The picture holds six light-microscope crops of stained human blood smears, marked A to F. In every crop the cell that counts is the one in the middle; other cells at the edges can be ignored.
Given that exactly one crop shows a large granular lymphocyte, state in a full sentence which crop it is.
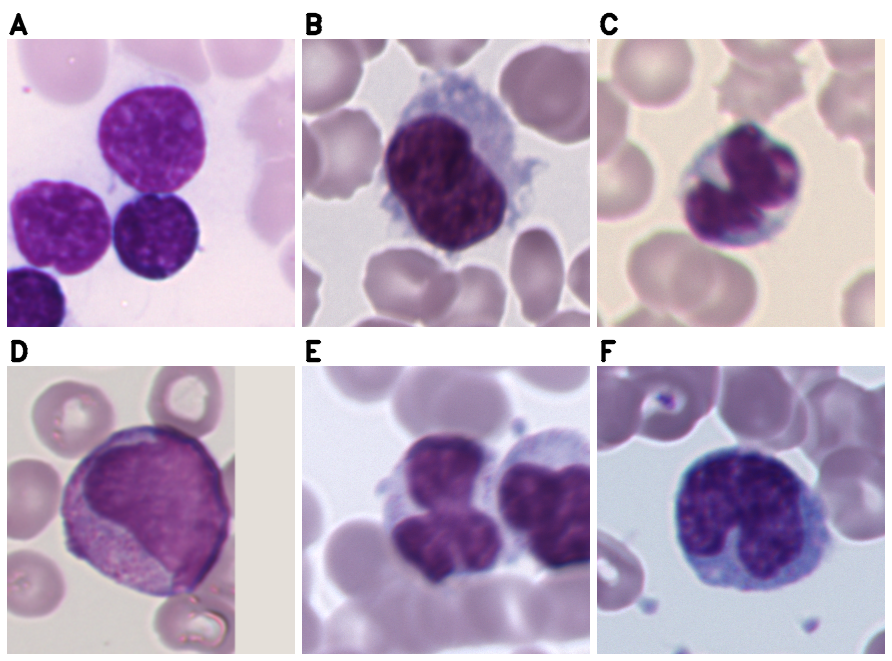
Crop E alone, of all the crops, shows a large granular lymphocyte.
